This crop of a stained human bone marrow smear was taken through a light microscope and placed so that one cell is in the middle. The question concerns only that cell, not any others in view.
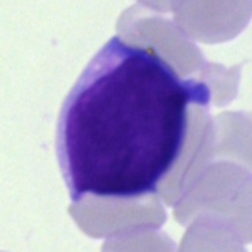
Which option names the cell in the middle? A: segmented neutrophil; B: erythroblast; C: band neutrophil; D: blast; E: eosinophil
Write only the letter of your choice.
D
